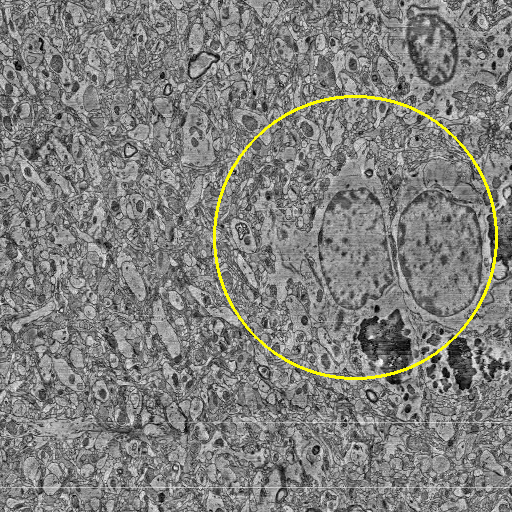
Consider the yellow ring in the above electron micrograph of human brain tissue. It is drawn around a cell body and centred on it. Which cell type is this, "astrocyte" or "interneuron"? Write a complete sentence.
The cell in question is an astrocyte.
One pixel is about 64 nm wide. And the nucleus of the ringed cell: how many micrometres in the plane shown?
About 8 micrometres by about 5 micrometres in this plane.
